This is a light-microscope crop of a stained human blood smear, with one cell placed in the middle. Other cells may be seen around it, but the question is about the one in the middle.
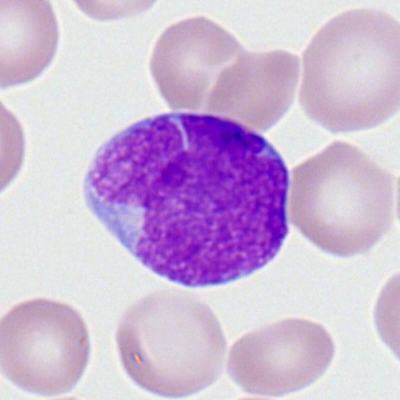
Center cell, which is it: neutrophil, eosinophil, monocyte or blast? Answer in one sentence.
In this smear crop, the middle cell is a blast.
